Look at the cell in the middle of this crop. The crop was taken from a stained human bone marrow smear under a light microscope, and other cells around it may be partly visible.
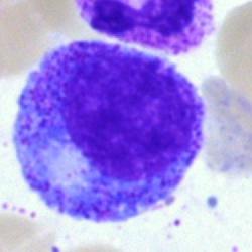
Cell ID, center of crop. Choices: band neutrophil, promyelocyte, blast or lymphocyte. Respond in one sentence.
Located at the centre of the crop is a promyelocyte.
